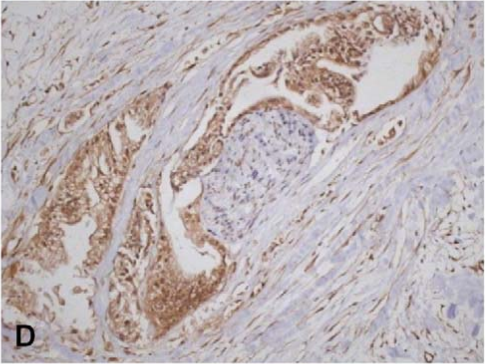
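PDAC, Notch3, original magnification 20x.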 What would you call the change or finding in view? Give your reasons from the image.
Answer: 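A pale bundle of wavy fibres with elongated nuclei lies in the centre. Brown-stained malignant glands wrap around this bundle. Fibrous stroma surrounds the glands. On this evidence: perineural invasion.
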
